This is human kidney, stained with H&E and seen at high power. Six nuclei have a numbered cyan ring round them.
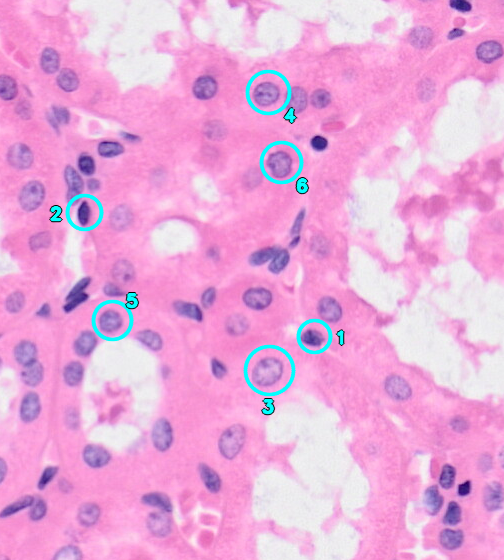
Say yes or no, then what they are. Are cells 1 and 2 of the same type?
Yes, just like cell 1, cell 2 is one of the endothelial cells.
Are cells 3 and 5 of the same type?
No, unlike cell 3, which is a proximal tubule cell, cell 5 is a loop of Henle or distal tubule cell.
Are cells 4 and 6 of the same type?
Yes, cells 4 and 6 are both proximal tubule cells.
